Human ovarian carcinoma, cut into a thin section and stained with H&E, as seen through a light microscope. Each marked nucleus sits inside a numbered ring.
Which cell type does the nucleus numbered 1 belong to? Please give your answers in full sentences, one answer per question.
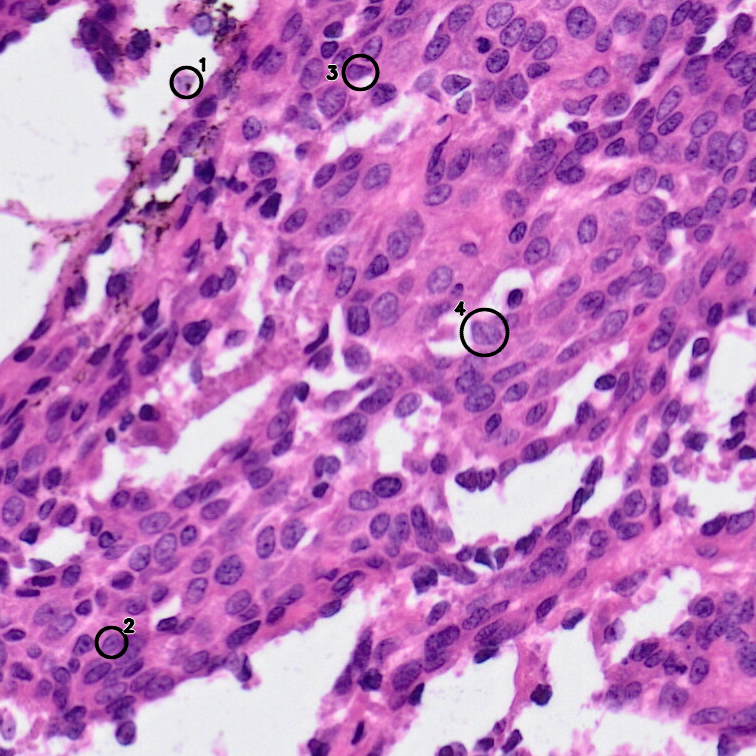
The cell indicated with the number 1 is classed as a macrophage or monocyte.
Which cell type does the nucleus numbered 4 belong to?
Corresponding to a carcinoma cell is the cell labelled 4.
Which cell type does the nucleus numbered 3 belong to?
The cell numbered 3 has been identified as a carcinoma cell.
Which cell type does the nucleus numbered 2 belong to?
Cell 2, among those numbered, is a carcinoma cell.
